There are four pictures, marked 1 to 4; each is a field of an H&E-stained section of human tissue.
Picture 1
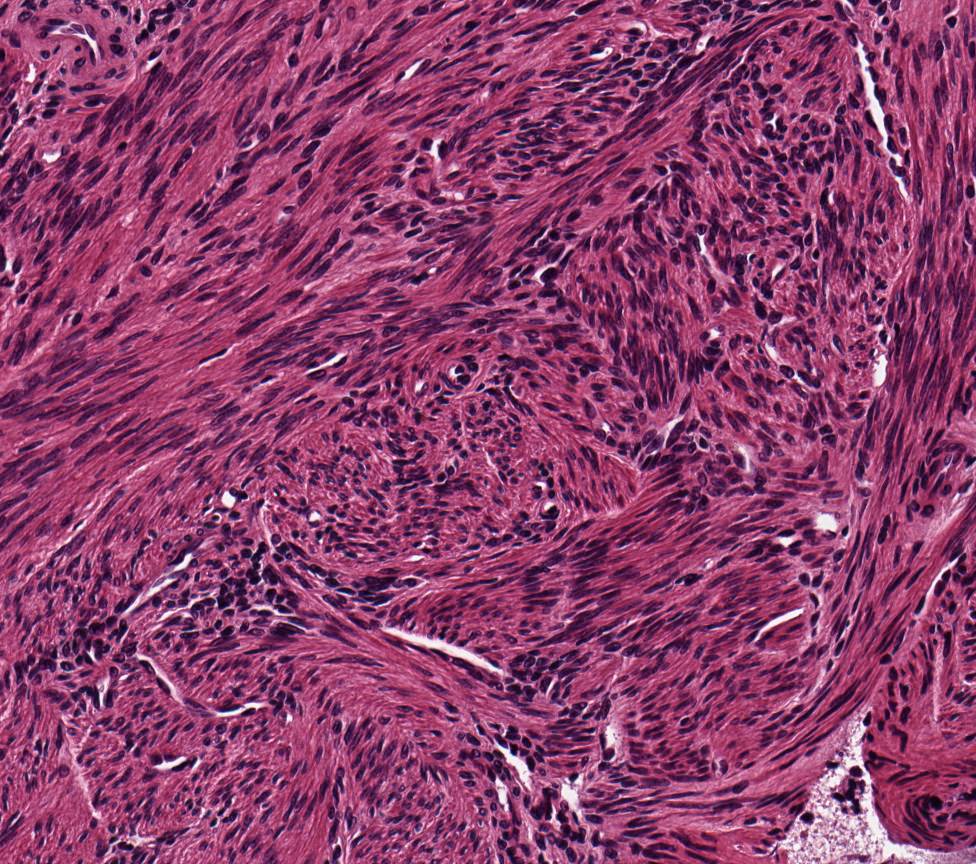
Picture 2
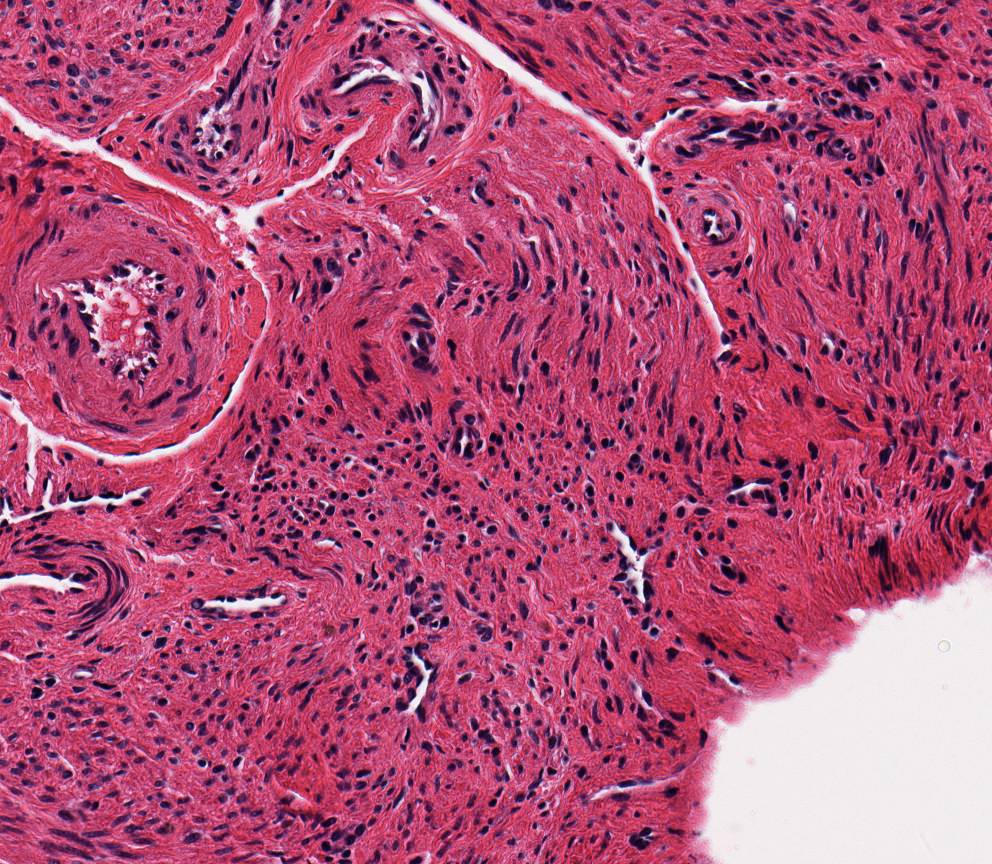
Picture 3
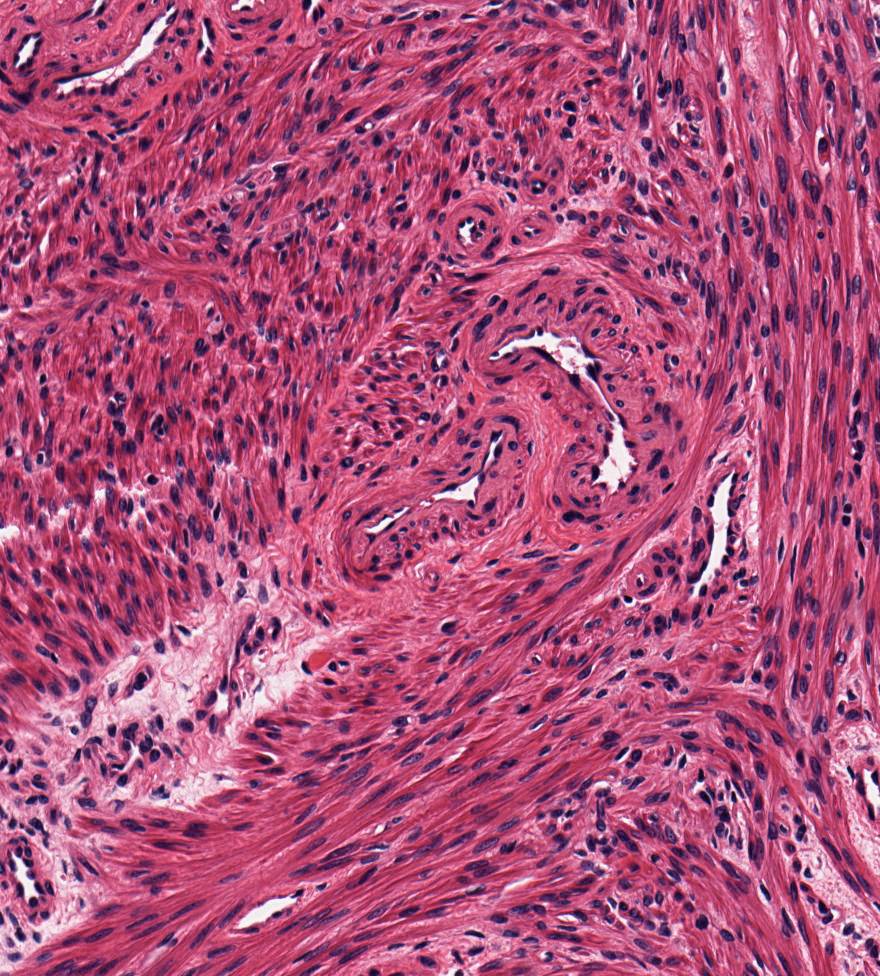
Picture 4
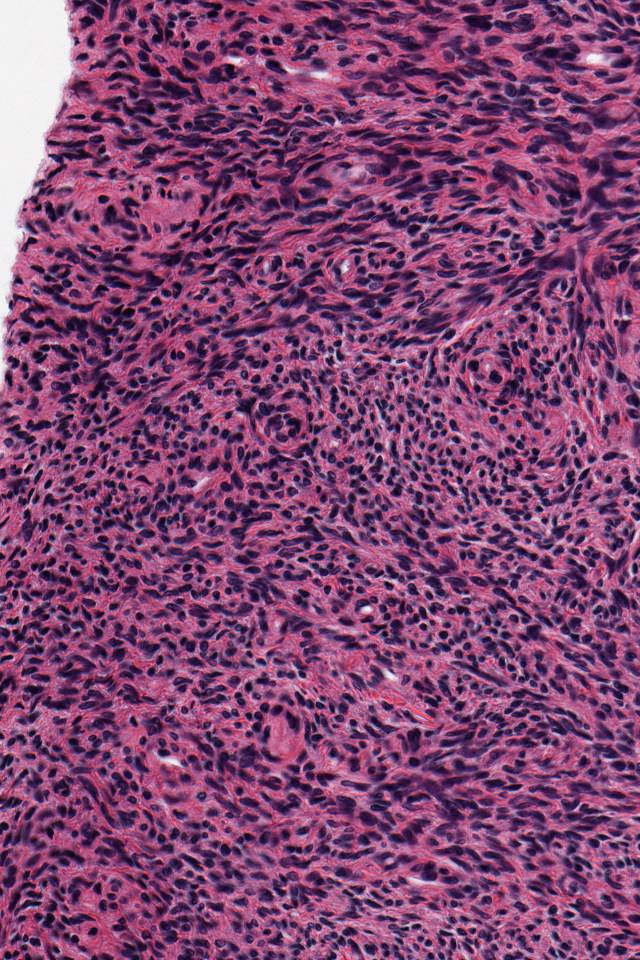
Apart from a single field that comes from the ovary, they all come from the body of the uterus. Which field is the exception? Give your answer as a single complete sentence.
Picture 4 is the field that comes from the ovary.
